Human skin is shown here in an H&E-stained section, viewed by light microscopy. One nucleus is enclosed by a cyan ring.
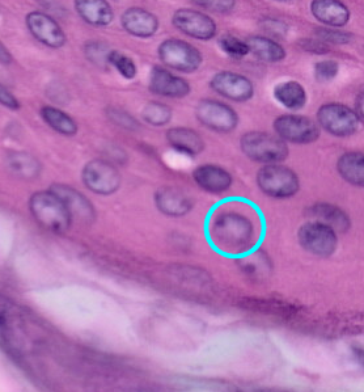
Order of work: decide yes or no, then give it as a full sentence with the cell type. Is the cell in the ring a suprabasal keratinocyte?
Yes, the cell in the ring is recognized as a suprabasal keratinocyte in this section.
